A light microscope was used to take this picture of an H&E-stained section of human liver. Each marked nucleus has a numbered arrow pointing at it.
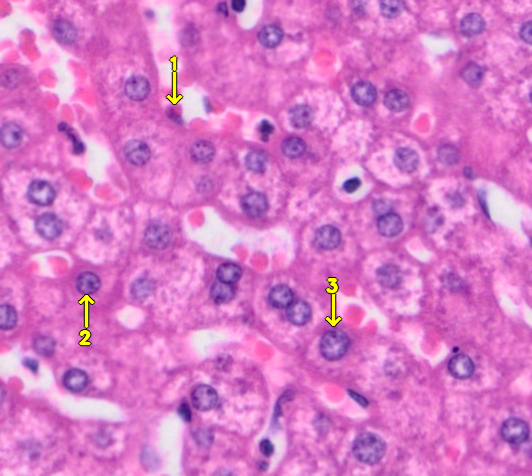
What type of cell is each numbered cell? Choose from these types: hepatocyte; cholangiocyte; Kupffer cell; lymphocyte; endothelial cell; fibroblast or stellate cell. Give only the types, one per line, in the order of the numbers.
endothelial cell
hepatocyte
hepatocyte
